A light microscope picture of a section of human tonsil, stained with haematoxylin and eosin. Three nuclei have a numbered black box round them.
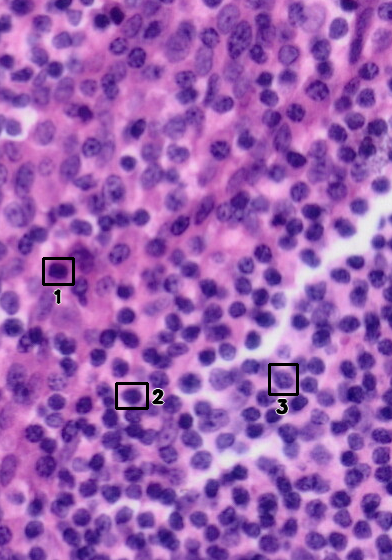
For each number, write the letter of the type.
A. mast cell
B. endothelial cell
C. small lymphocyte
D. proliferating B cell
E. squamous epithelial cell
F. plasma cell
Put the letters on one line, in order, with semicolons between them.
F; C; C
